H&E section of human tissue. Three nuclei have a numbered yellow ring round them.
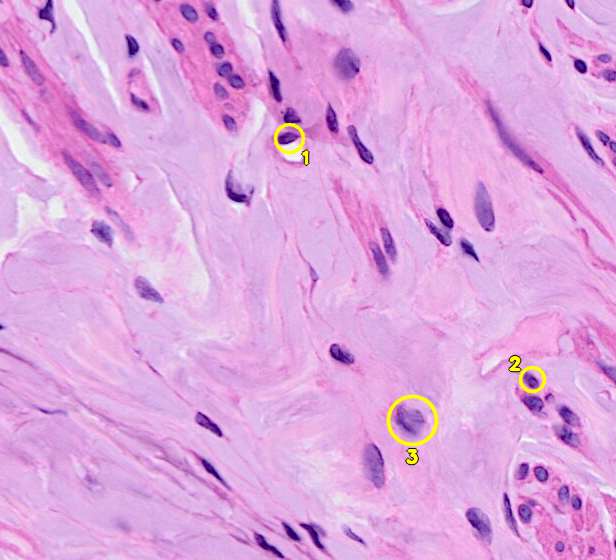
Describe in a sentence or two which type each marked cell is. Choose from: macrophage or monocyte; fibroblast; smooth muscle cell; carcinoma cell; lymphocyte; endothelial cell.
Cell 1 is an endothelial cell, cell 2 is a smooth muscle cell and cell 3 is a fibroblast.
